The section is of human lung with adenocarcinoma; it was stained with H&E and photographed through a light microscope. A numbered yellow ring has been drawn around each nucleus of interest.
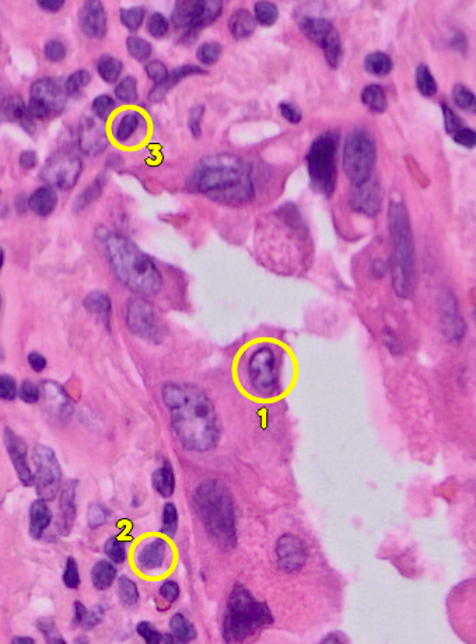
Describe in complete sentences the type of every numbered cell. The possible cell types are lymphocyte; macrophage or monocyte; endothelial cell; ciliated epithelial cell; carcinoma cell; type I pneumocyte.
Cell 1 is a macrophage or monocyte. Cells 2 and 3 are lymphocytes.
